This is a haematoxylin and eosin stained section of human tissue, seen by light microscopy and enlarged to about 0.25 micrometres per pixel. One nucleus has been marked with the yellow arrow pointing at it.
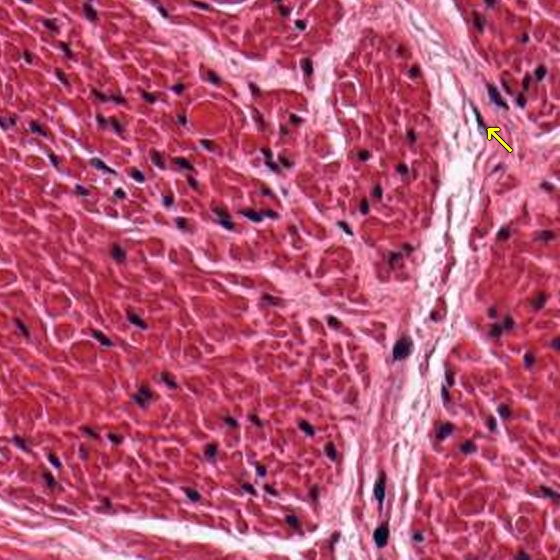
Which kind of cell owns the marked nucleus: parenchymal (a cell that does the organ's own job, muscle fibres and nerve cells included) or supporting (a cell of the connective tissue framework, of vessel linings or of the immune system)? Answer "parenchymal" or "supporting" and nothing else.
supporting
